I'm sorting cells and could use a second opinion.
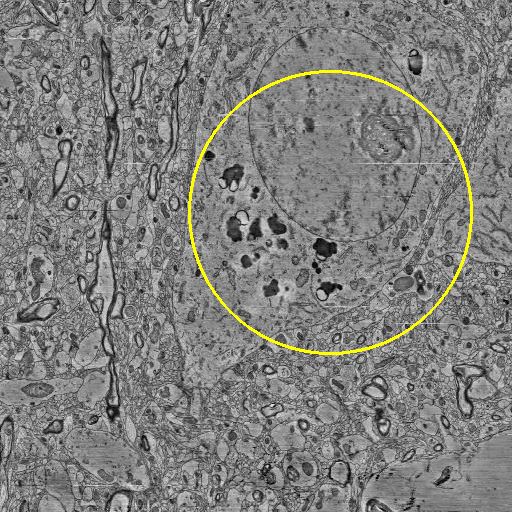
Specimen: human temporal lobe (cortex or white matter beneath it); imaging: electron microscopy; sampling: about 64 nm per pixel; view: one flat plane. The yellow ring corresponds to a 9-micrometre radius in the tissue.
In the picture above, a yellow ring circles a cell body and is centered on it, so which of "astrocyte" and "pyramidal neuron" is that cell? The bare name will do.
pyramidal neuron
